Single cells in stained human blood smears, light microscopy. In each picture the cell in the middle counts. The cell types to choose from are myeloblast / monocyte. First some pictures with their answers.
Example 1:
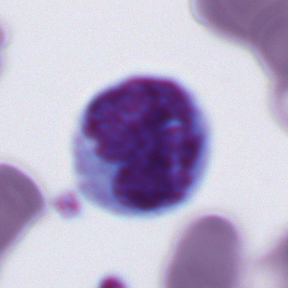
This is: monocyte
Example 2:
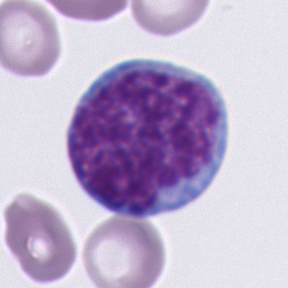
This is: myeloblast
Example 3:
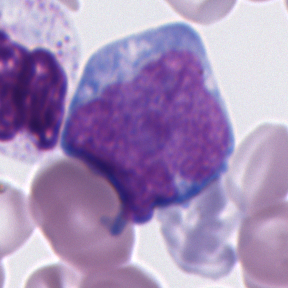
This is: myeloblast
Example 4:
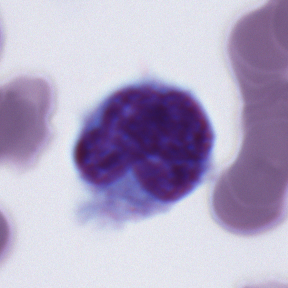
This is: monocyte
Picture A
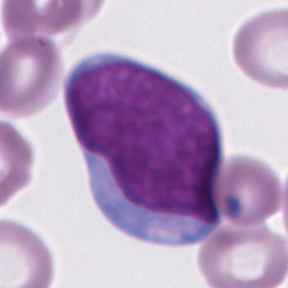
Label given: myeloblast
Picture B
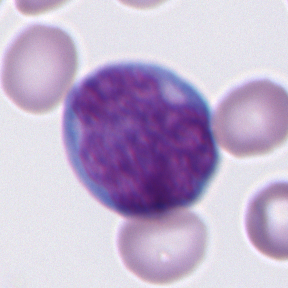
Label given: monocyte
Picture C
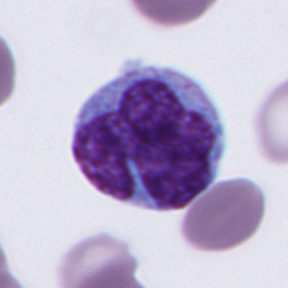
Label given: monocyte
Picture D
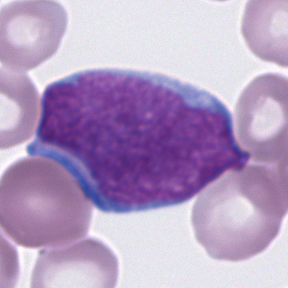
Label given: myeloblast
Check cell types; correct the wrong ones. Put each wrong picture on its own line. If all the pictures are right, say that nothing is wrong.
B: change monocyte to myeloblast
